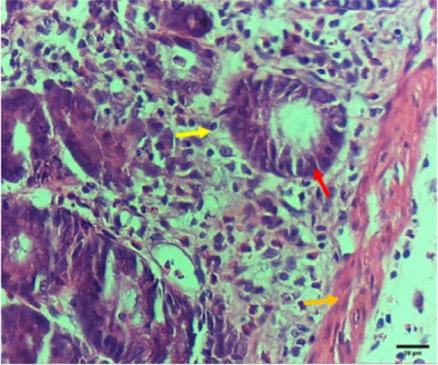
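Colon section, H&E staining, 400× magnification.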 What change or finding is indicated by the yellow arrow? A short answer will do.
Lymphoplasmacytic infiltration.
